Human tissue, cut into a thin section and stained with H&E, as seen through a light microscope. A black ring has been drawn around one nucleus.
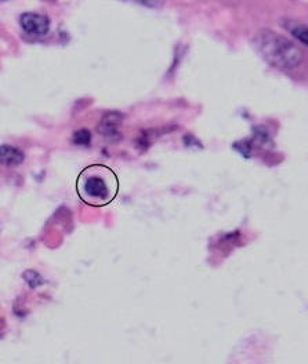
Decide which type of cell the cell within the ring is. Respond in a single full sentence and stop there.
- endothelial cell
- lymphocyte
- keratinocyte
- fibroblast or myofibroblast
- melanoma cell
The category to which the cell within the ring belongs is that of a lymphocyte.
